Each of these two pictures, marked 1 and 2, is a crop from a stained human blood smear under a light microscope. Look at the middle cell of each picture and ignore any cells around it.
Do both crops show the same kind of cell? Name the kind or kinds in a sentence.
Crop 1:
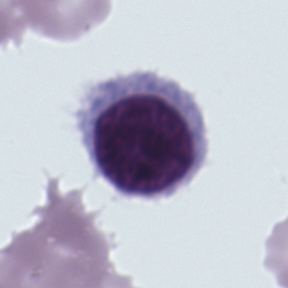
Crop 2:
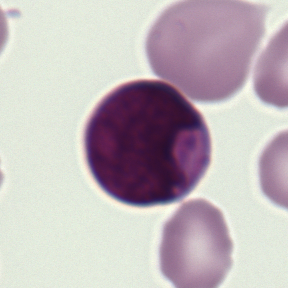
No, crop 1 contains a hairy cell; a myeloblast is what crop 2 contains.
